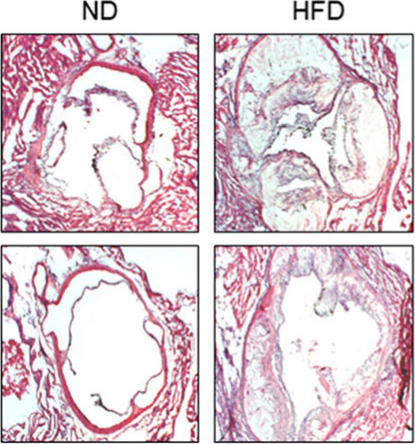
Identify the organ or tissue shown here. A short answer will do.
aortic sinuses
